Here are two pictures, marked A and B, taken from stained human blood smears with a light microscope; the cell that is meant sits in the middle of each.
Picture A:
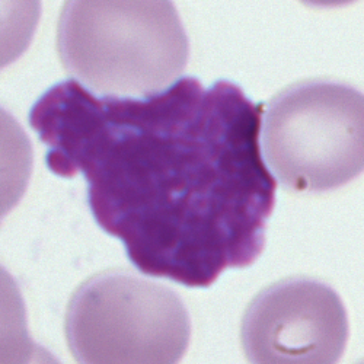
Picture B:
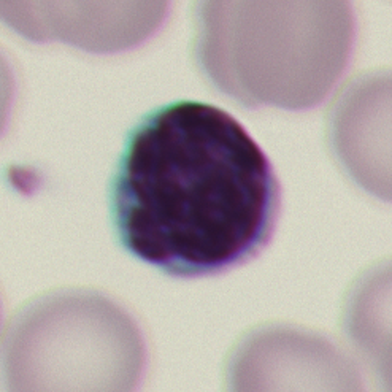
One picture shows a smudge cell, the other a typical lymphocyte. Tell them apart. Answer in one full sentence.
Picture A shows a smudge cell and picture B shows a typical lymphocyte.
